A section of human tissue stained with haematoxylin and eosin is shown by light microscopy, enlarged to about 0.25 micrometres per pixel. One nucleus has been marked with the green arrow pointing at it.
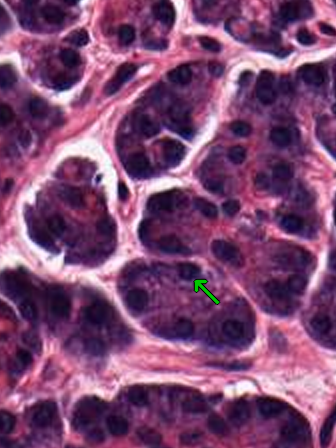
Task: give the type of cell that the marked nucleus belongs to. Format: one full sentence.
Within a pancreatic acinar cell lies the marked nucleus.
